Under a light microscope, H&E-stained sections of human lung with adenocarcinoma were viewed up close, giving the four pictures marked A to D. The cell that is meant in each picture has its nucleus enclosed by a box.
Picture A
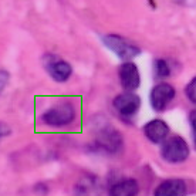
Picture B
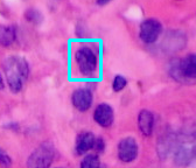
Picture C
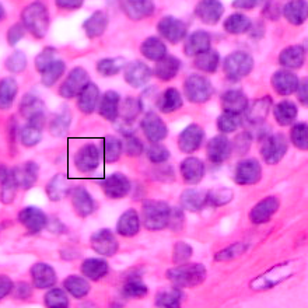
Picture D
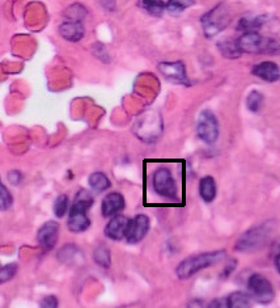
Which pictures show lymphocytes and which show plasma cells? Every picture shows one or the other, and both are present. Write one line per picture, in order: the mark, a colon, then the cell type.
A: plasma cell
B: lymphocyte
C: lymphocyte
D: plasma cell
